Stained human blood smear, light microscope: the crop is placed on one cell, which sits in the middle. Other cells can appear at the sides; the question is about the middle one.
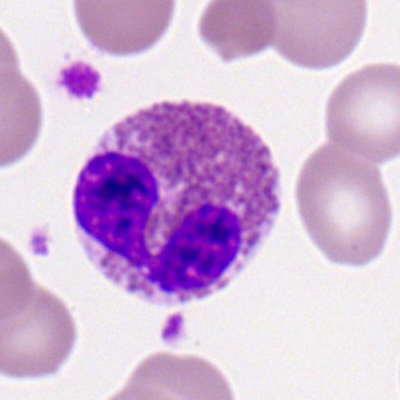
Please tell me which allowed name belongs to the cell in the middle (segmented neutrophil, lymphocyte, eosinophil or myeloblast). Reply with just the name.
eosinophil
